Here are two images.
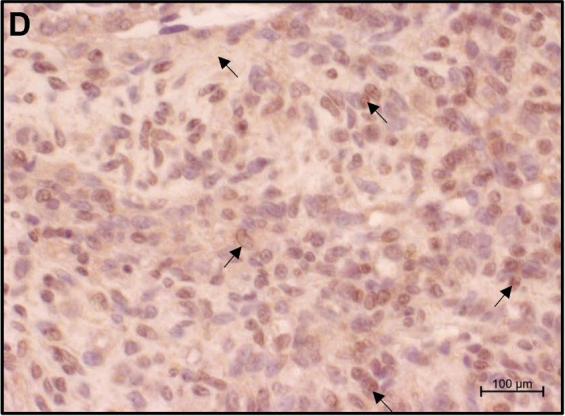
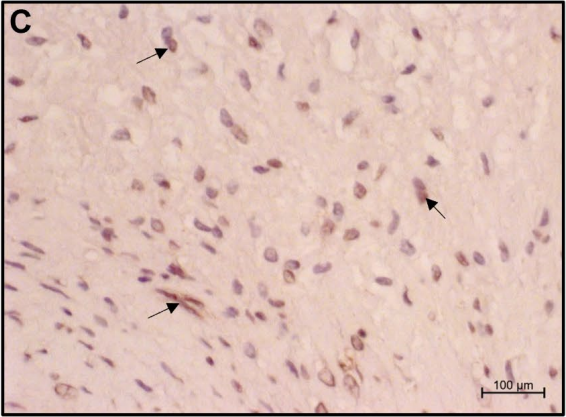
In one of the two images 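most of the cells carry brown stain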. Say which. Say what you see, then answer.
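The first image. First image: brown stain is widespread over most nuclei and the surrounding tissue. Second image: only a few scattered cells show brown stain among mostly blue nuclei.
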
